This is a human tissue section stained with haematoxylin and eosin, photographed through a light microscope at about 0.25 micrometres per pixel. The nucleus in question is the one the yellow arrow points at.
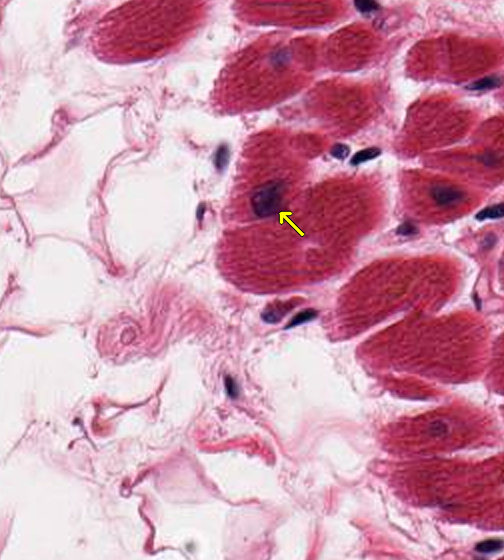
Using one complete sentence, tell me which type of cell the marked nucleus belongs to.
The owner of the marked nucleus is a cardiomyocyte.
